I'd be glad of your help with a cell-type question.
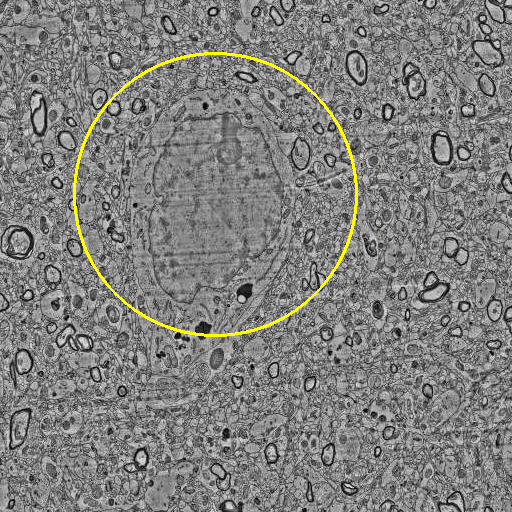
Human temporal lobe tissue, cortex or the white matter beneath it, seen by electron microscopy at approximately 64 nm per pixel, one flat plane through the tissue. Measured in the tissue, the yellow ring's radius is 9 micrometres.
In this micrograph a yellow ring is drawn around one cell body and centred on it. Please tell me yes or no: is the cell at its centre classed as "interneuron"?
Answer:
yes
